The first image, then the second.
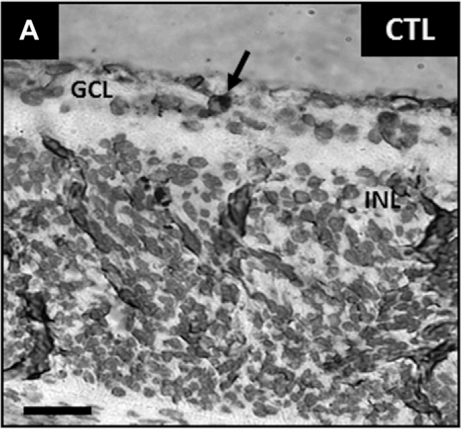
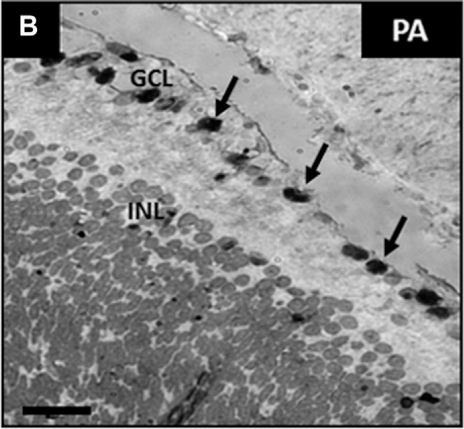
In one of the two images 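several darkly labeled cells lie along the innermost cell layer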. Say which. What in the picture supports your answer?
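The second image. Second image: several nearly black nuclei are strung along the top cell layer. First image: only a single, faintly darker cell is marked in that layer.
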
